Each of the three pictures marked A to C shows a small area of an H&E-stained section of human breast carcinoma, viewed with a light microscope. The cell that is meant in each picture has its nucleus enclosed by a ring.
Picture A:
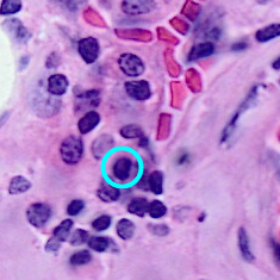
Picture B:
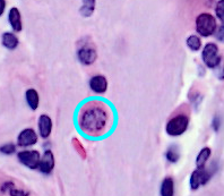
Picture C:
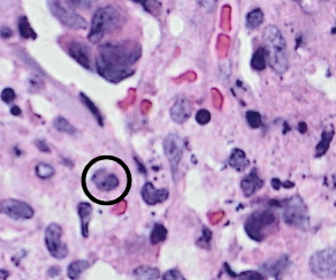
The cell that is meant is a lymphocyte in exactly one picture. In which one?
A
